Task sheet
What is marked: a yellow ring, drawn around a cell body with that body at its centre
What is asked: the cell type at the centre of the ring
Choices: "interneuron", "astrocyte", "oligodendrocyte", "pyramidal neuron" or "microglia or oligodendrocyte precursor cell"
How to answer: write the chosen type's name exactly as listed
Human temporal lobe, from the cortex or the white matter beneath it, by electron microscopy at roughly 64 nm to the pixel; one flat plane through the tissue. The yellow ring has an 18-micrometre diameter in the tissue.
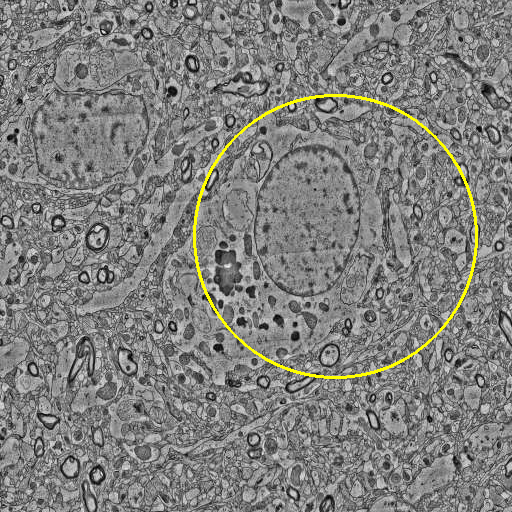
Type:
astrocyte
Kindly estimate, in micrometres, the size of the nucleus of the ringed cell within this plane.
Approximately 10 micrometres long and 7 micrometres wide, in this plane.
